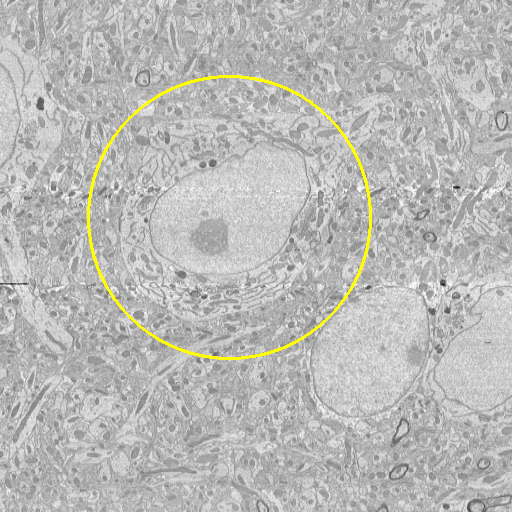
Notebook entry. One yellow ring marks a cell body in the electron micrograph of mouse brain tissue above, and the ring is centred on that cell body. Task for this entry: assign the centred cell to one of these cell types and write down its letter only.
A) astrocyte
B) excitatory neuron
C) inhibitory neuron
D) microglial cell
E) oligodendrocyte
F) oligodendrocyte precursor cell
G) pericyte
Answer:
C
